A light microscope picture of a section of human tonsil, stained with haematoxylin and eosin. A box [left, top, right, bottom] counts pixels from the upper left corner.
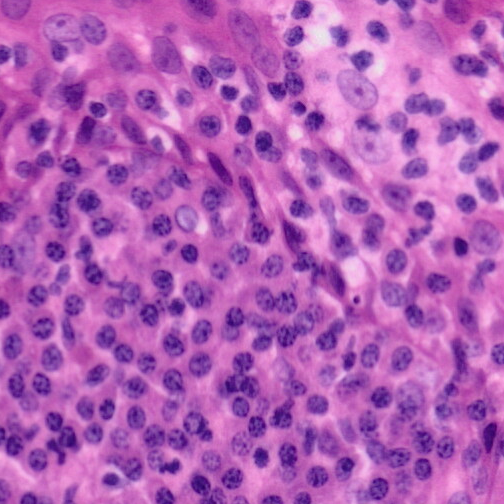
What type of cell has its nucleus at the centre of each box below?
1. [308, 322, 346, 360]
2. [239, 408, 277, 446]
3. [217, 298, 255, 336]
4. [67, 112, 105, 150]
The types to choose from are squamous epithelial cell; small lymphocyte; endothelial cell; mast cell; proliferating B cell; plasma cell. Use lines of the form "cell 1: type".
cell 1: plasma cell
cell 2: plasma cell
cell 3: plasma cell
cell 4: squamous epithelial cell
